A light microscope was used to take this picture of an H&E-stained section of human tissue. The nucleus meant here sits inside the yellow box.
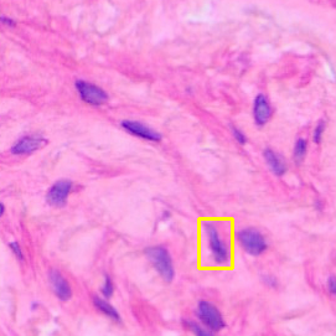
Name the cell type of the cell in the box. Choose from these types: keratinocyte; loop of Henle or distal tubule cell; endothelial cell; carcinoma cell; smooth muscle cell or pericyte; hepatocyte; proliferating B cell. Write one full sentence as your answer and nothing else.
At the level of cell identity, the cell in the box is a smooth muscle cell or pericyte.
